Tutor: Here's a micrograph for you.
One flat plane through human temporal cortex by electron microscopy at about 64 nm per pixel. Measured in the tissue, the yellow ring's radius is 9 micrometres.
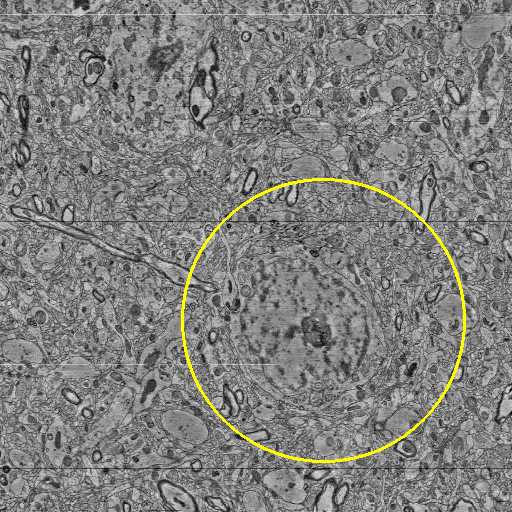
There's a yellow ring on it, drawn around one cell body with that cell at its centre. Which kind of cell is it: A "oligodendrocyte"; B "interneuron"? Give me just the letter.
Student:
B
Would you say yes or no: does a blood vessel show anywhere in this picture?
No, none appears.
